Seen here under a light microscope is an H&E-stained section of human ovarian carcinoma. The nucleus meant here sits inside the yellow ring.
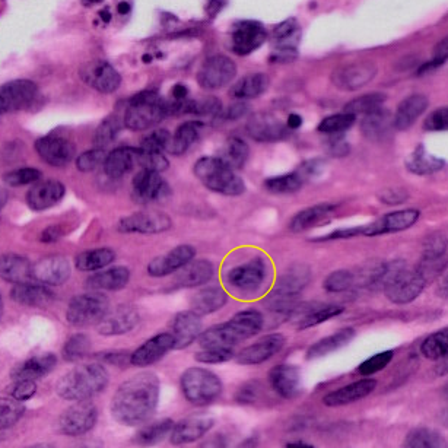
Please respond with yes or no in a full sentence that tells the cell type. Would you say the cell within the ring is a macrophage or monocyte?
Yes, a macrophage or monocyte is what the cell within the ring is in this section.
